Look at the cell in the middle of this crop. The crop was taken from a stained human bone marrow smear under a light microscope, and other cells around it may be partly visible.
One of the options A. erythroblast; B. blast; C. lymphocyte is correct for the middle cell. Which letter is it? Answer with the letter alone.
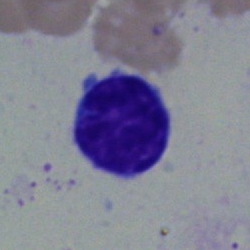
C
